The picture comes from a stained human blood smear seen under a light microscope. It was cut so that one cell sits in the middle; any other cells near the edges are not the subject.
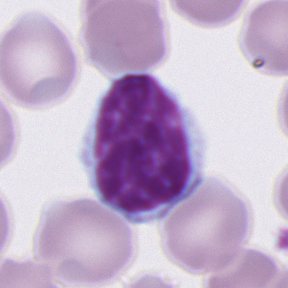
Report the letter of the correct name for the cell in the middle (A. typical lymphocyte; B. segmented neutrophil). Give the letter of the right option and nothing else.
A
